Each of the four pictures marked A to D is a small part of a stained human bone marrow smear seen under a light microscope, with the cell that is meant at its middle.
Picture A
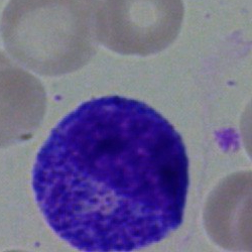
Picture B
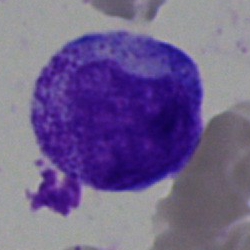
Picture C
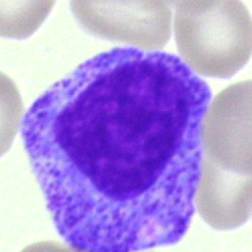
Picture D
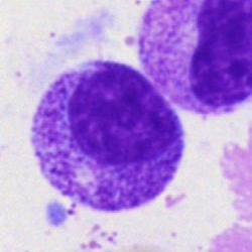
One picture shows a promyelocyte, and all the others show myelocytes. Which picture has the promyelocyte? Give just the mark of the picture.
C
